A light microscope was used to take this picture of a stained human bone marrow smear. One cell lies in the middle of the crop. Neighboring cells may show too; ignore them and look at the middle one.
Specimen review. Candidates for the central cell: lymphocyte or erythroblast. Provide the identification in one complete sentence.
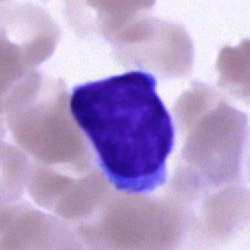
The identification for the central cell is a lymphocyte.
